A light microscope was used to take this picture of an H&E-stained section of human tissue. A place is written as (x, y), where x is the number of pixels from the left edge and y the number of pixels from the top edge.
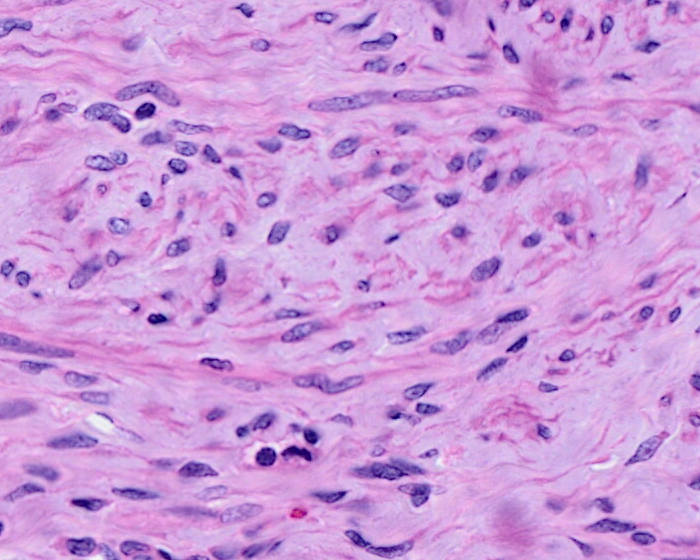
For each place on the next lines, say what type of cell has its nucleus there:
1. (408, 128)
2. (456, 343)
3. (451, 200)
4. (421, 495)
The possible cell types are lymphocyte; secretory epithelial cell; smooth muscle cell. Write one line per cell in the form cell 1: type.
cell 1: smooth muscle cell
cell 2: smooth muscle cell
cell 3: smooth muscle cell
cell 4: lymphocyte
